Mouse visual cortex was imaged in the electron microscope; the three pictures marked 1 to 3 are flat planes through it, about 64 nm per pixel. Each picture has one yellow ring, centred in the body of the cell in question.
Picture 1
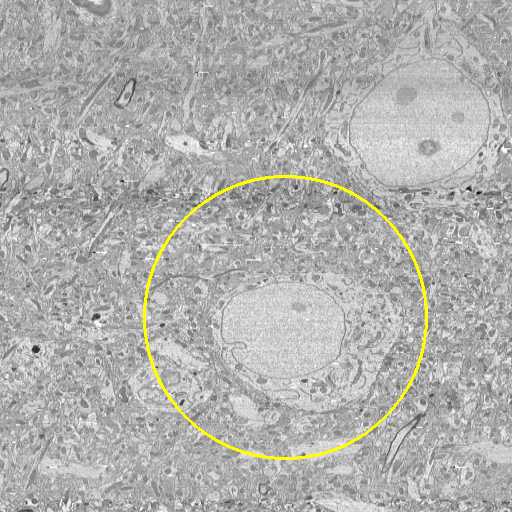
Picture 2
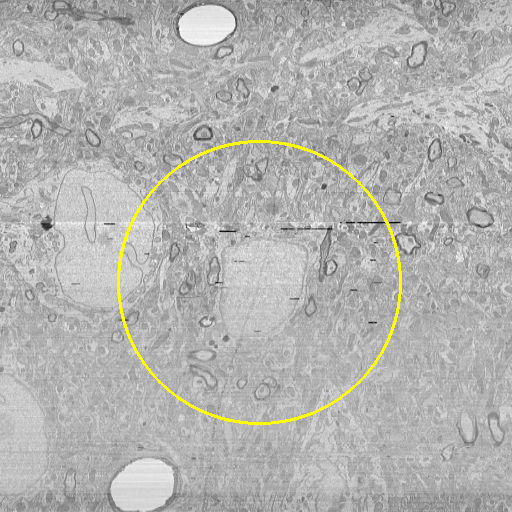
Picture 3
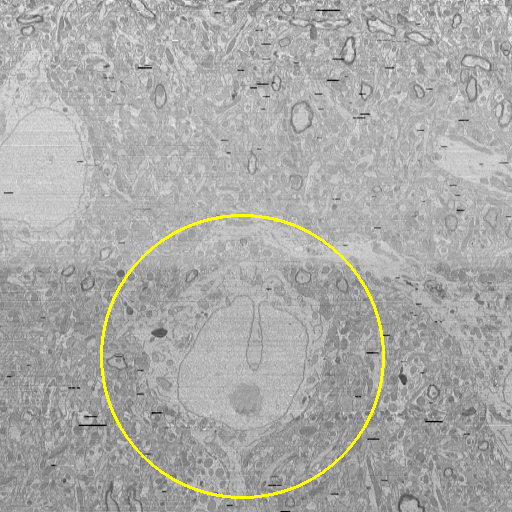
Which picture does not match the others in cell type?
Picture 2 is the odd one out: it shows an astrocyte, while the others show excitatory neurons.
